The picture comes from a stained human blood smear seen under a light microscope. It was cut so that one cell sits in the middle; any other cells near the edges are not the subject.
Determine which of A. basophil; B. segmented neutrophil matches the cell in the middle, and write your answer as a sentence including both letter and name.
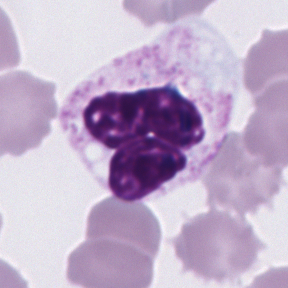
Option B is correct in naming the middle cell a segmented neutrophil.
